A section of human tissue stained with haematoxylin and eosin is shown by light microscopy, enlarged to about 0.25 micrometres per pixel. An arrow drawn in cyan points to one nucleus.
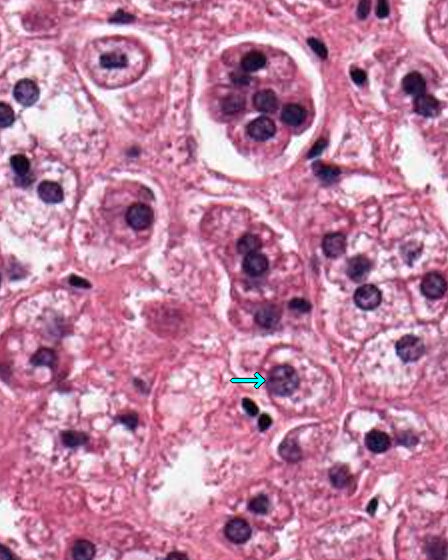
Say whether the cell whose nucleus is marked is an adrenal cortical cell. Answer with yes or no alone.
yes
